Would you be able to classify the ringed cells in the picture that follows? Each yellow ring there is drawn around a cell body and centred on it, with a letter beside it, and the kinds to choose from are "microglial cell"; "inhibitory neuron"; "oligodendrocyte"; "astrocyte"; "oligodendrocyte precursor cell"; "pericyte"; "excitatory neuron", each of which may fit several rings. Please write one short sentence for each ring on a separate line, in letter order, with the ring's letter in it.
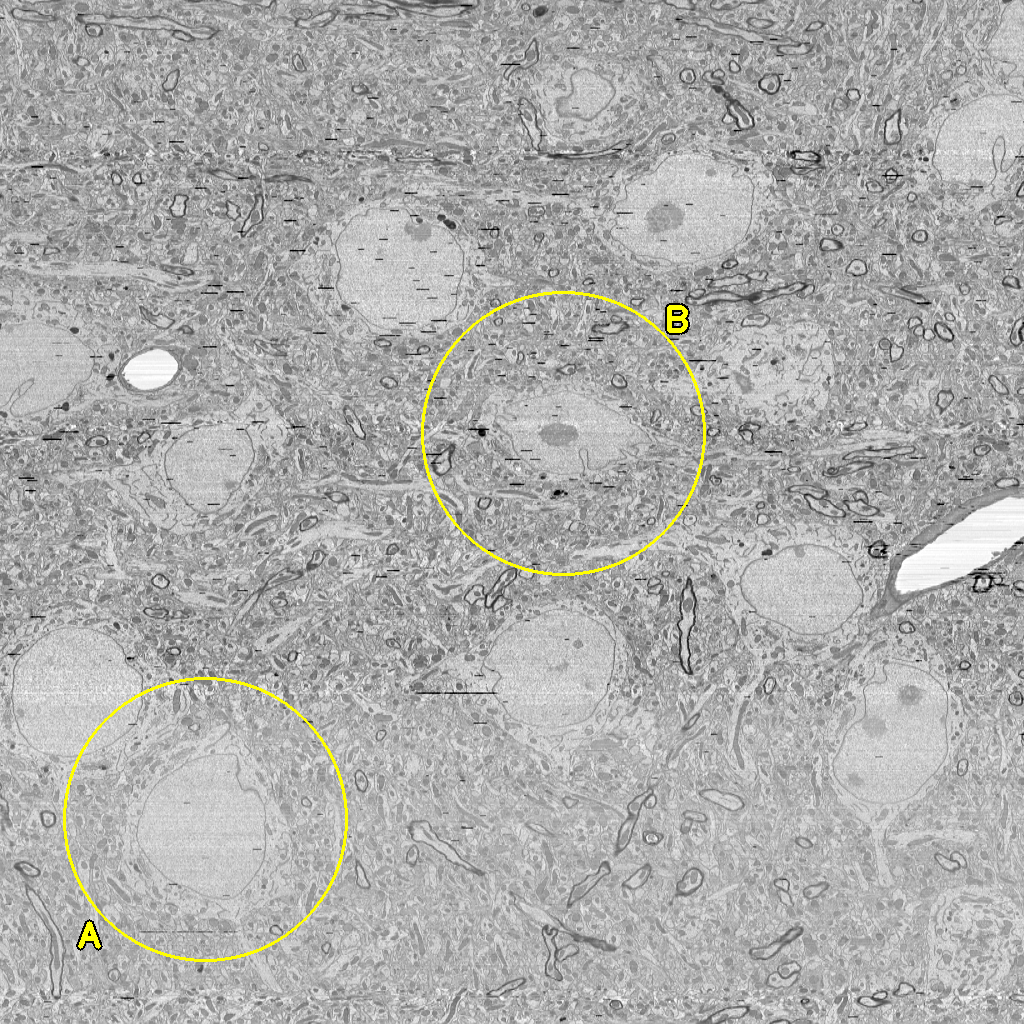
The cell body at the centre of ring A belongs to an excitatory neuron.
The cell body at the centre of ring B belongs to an inhibitory neuron.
